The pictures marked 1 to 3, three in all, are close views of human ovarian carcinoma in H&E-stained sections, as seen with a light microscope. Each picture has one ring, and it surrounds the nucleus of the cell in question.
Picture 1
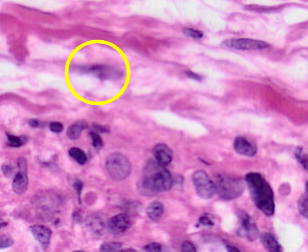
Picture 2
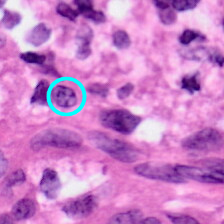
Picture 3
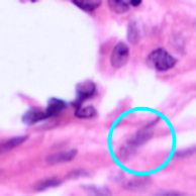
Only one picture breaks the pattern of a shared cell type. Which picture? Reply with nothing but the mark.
2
